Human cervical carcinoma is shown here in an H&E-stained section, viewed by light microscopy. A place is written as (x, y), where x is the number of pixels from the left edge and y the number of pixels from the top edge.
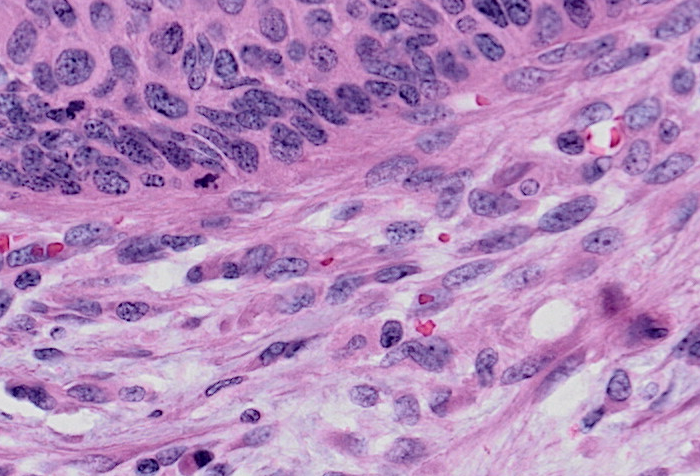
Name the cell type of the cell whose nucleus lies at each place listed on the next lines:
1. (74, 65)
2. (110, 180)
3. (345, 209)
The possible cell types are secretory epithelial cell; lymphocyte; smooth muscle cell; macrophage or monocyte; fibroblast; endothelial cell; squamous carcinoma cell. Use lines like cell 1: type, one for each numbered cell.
cell 1: squamous carcinoma cell
cell 2: squamous carcinoma cell
cell 3: fibroblast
